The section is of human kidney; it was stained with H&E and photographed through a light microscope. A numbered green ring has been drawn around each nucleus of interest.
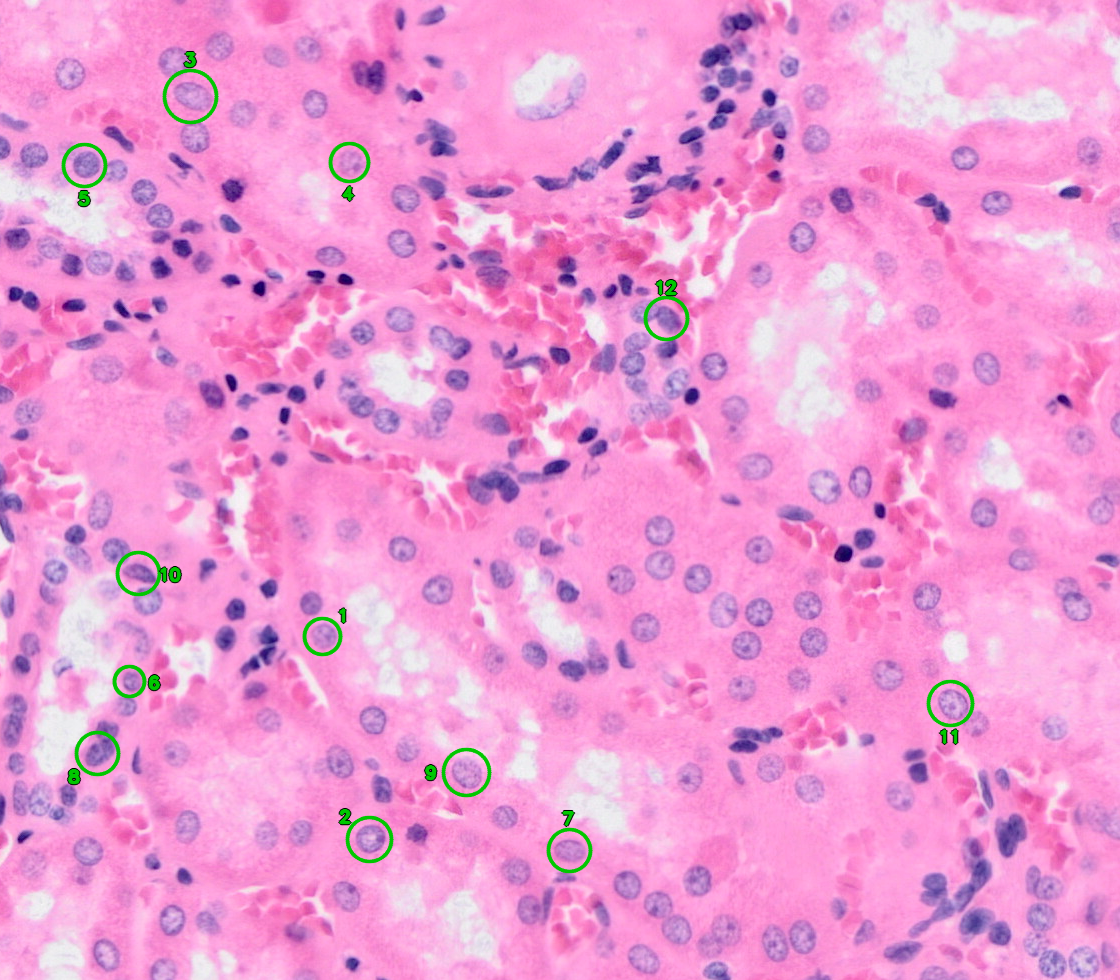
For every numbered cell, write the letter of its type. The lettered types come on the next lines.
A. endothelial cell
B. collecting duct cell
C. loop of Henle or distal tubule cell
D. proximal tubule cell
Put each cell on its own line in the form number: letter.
1: D
2: D
3: D
4: D
5: B
6: B
7: D
8: B
9: D
10: B
11: D
12: B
